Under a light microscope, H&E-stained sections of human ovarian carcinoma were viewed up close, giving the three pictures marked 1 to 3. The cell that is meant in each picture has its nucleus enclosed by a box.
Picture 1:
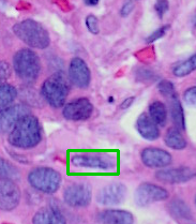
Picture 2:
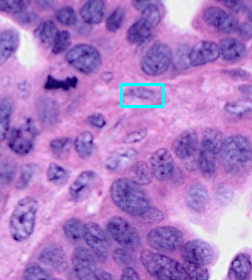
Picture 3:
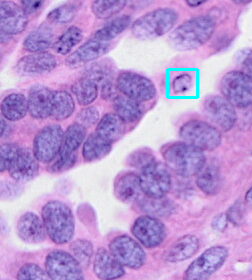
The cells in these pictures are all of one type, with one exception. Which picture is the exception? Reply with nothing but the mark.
3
